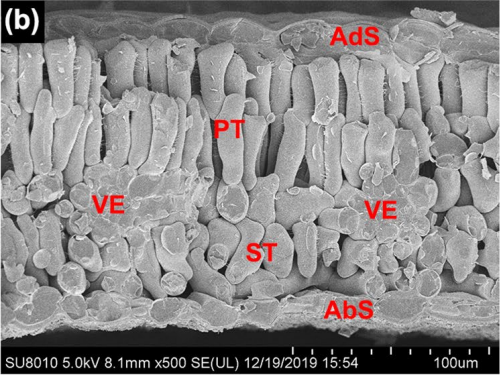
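This cross section of a leaf blade shows the tissue layers between the two surfaces. Beneath a thin upper epidermis, the palisade tissue forms one or two rows of tall, column-shaped cells packed side by side and oriented perpendicular to the surface. Below them the spongy tissue consists of shorter, rounded and irregular cells with more space between them. The lower epidermis forms a thin, flat layer along the bottom edge.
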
